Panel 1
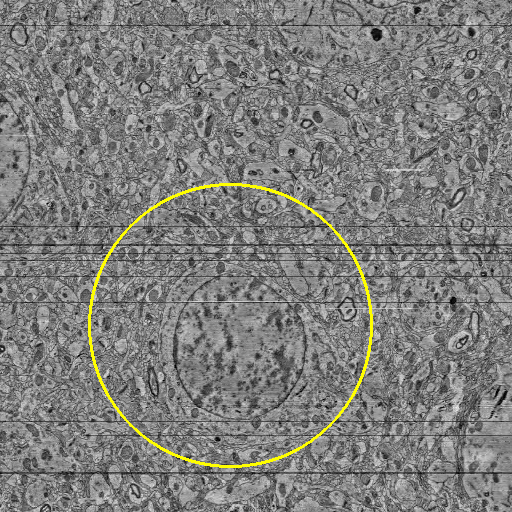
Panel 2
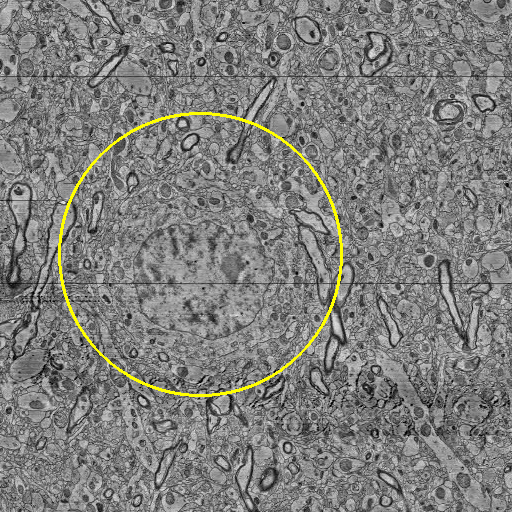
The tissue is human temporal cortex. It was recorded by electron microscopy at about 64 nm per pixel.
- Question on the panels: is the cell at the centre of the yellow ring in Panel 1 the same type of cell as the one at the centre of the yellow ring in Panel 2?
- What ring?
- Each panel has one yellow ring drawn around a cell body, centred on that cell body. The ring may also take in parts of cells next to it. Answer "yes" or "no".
no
